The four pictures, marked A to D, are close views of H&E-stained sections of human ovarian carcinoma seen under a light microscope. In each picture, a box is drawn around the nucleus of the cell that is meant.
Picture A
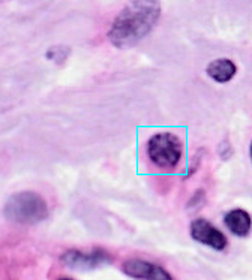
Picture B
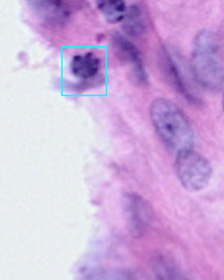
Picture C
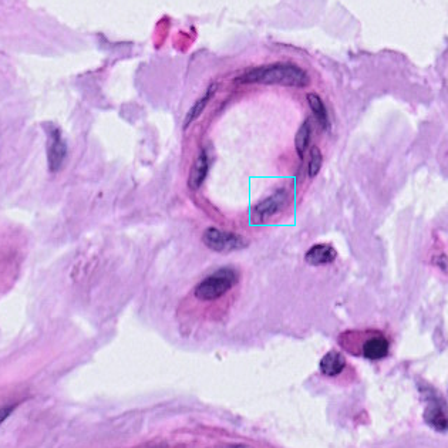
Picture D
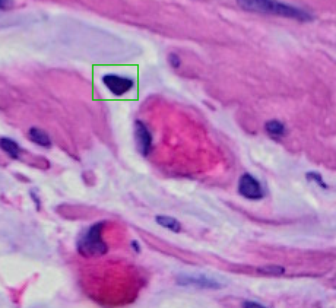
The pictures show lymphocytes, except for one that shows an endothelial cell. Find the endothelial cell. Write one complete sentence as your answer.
The picture with the endothelial cell is C.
